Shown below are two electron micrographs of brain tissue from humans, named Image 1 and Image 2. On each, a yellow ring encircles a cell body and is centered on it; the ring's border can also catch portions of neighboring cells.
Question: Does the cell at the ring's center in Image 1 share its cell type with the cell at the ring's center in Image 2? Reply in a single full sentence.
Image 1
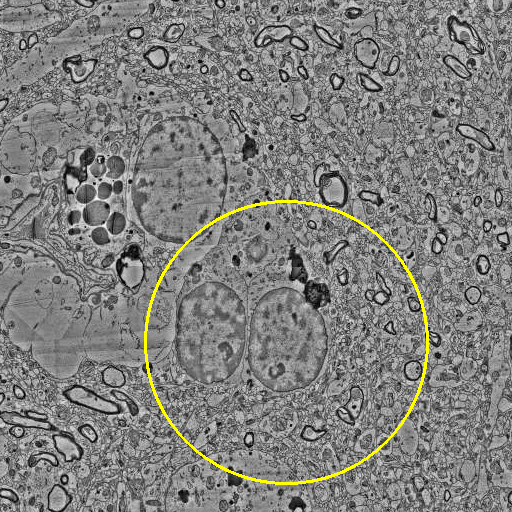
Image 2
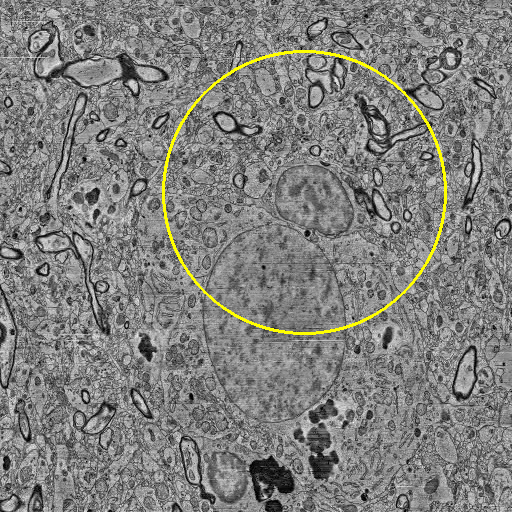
Yes, the two cells at the ring centers, in Image 1 and Image 2, share one cell type.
